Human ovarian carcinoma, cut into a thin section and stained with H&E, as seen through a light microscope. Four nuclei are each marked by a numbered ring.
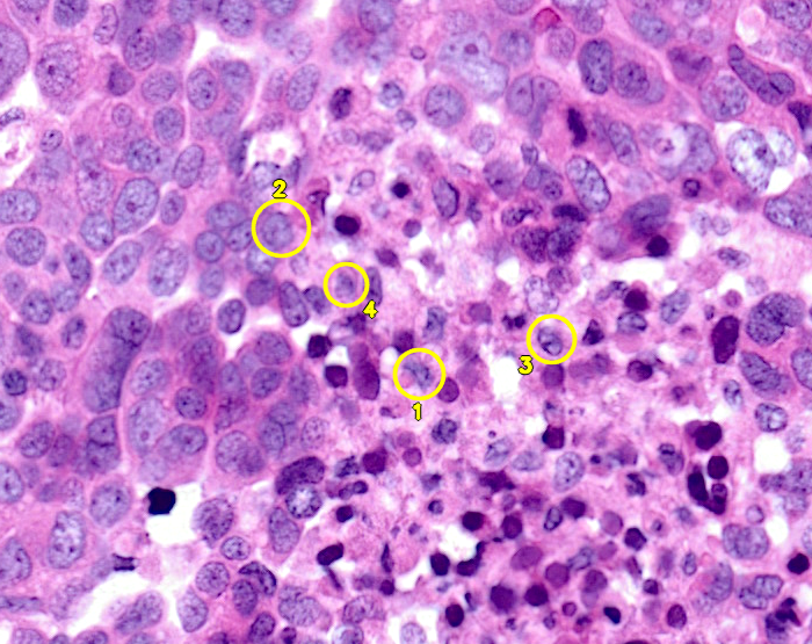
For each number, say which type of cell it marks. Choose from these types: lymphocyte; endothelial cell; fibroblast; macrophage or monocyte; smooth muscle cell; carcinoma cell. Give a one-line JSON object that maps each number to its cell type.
{"1": "macrophage or monocyte", "2": "carcinoma cell", "3": "macrophage or monocyte", "4": "macrophage or monocyte"}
